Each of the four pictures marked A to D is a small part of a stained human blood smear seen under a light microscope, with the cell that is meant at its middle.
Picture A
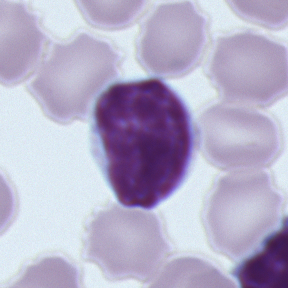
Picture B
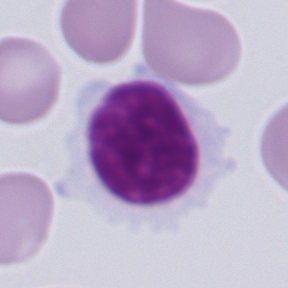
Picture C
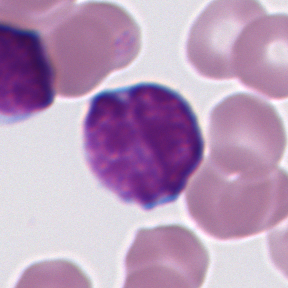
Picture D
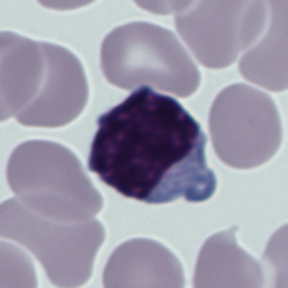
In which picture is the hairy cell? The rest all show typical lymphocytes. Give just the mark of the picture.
B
